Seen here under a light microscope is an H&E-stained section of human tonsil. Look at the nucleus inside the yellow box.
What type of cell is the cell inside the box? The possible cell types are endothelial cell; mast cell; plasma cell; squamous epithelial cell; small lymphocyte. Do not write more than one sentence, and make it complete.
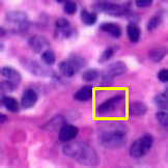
Recorded by type, the cell inside the box is an endothelial cell.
